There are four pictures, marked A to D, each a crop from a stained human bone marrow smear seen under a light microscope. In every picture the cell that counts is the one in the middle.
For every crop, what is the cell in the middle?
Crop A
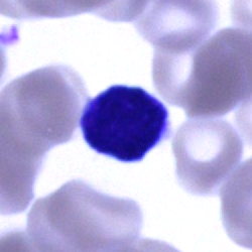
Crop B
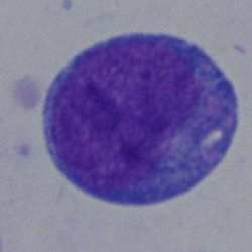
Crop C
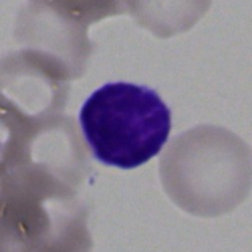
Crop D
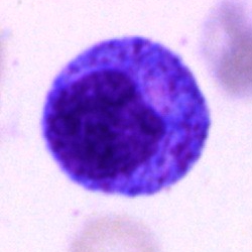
A: lymphocyte
B: blast
C: lymphocyte
D: promyelocyte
